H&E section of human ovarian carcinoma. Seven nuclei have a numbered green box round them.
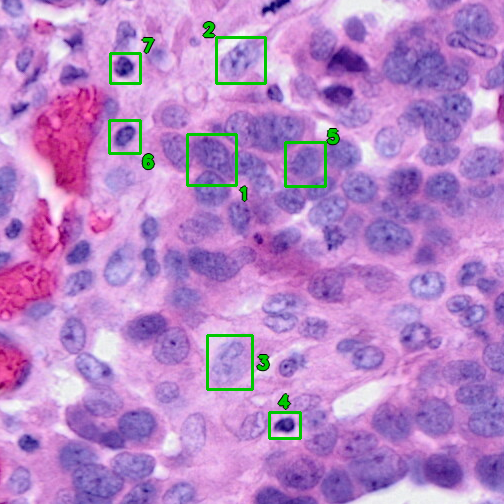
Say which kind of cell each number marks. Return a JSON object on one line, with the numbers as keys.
{"1": "carcinoma cell", "2": "fibroblast", "3": "fibroblast", "4": "lymphocyte", "5": "carcinoma cell", "6": "lymphocyte", "7": "lymphocyte"}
